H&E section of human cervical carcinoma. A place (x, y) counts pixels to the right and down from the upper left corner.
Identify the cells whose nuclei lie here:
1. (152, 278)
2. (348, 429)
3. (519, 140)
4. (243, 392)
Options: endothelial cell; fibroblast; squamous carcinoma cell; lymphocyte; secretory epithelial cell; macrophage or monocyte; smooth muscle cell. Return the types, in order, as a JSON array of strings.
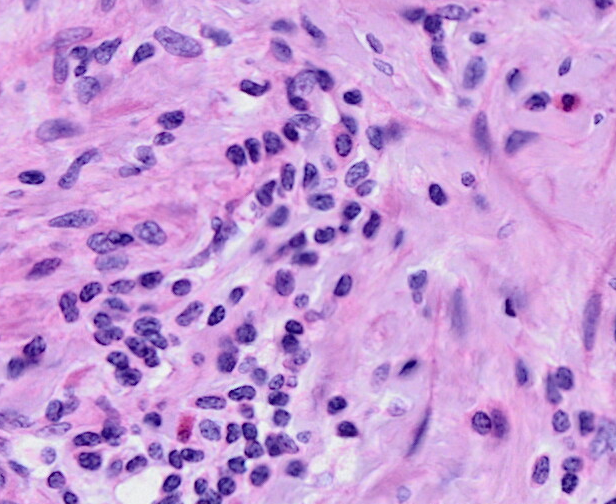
["lymphocyte", "lymphocyte", "fibroblast", "lymphocyte"]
